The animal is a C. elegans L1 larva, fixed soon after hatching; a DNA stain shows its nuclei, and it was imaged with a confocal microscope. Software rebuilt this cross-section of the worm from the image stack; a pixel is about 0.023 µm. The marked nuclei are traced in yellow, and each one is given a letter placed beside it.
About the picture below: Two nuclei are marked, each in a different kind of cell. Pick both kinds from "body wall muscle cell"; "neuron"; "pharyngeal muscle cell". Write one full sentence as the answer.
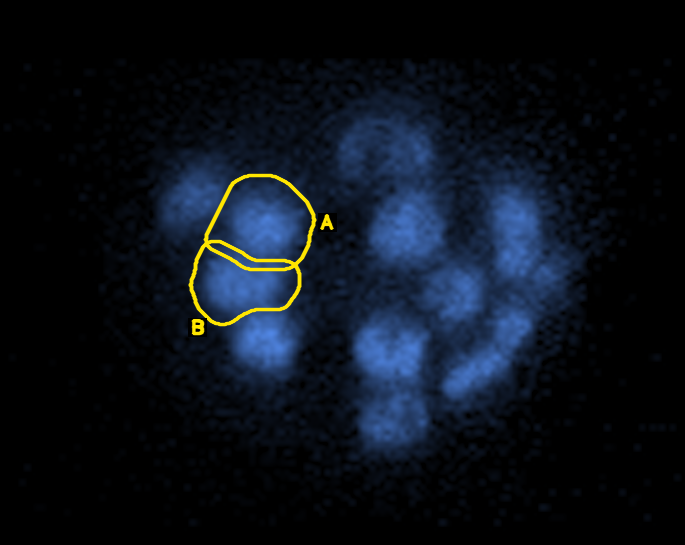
B belongs to a pharyngeal muscle cell, and A to a neuron.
